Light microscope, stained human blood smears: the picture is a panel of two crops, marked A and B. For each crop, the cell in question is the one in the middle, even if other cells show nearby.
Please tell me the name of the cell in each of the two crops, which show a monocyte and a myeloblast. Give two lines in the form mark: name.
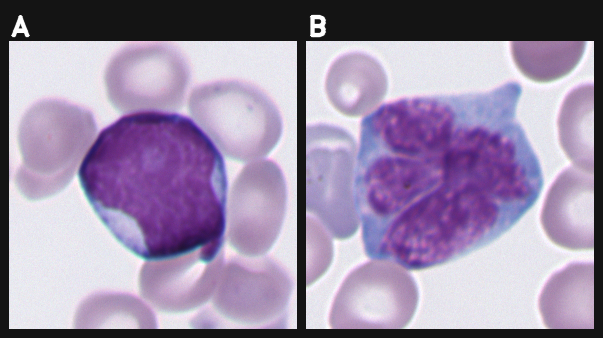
A: myeloblast
B: monocyte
